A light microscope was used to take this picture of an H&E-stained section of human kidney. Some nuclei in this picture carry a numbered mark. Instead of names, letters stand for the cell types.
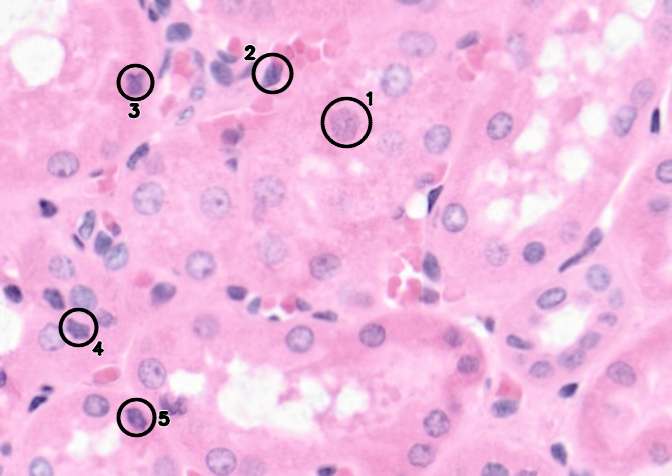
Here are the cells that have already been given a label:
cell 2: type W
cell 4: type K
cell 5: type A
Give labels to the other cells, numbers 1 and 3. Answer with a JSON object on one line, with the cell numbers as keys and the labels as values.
{"1": "type A", "3": "type A"}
